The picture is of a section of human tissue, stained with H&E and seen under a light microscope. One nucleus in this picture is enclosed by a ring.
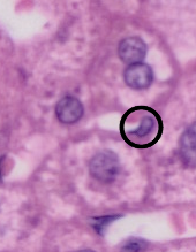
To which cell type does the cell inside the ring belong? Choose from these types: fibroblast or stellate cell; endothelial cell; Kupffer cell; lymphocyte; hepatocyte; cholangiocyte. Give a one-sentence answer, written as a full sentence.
In this section of tissue, the cell inside the ring is an endothelial cell.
